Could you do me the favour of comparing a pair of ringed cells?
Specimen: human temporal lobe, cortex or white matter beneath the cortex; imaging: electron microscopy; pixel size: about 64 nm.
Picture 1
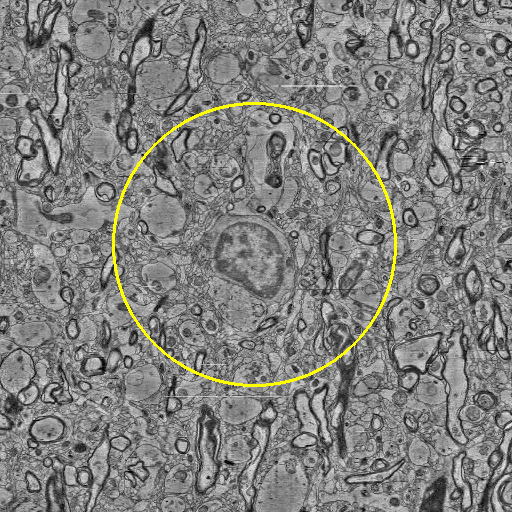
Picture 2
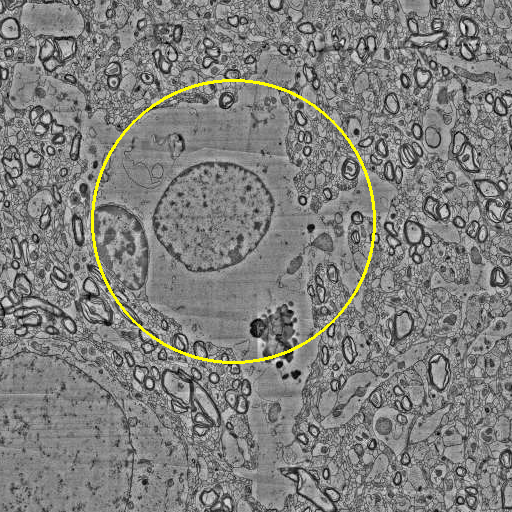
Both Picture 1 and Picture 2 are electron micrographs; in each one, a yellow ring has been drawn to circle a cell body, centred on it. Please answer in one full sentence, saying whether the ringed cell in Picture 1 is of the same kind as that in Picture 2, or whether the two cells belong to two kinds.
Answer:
The ringed cells in Picture 1 and Picture 2 belong to two kinds.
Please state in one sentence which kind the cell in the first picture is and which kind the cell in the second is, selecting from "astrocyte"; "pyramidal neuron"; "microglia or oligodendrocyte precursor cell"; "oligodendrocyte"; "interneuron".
The first ringed cell is an oligodendrocyte, the second ringed cell an astrocyte.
